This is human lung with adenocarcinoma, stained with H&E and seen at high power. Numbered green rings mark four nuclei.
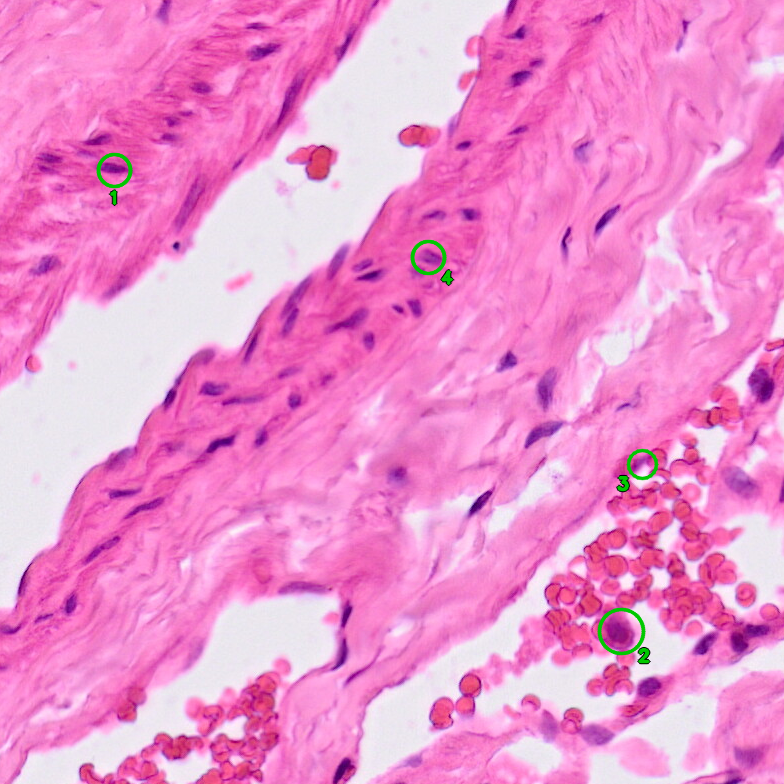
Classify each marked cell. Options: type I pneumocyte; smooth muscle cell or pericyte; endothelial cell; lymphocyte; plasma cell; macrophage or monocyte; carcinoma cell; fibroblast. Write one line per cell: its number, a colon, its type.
1: smooth muscle cell or pericyte
2: macrophage or monocyte
3: endothelial cell
4: smooth muscle cell or pericyte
